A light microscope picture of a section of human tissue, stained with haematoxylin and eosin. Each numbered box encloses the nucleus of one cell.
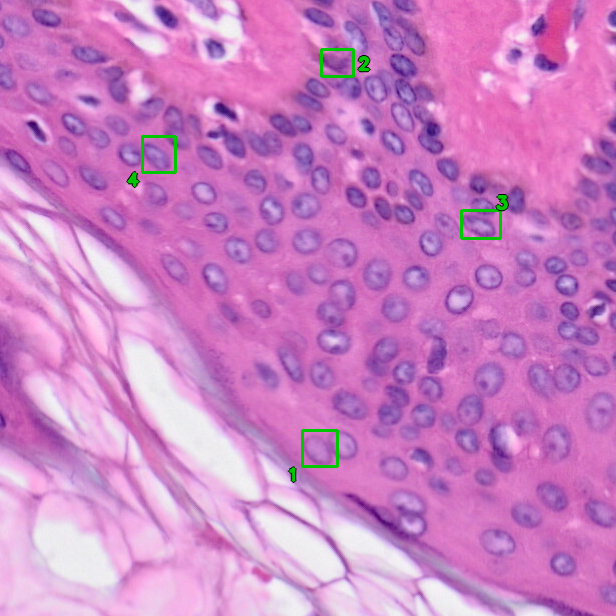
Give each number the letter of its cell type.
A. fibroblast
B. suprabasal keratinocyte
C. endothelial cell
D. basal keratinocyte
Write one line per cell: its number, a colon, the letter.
1: B
2: D
3: B
4: B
